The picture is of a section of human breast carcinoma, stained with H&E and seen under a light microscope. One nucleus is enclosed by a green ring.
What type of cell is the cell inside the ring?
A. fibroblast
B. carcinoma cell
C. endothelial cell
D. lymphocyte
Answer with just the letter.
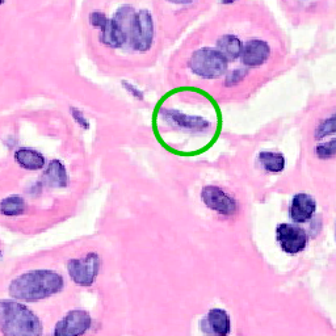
A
